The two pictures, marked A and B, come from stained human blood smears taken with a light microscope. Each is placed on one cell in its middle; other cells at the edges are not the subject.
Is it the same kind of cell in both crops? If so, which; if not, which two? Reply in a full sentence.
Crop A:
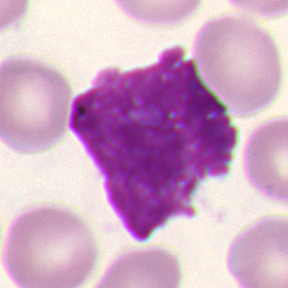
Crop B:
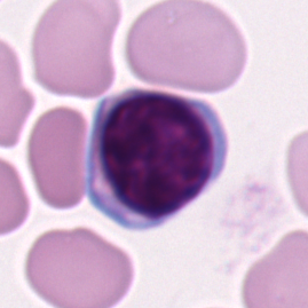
No, crop A contains a smudge cell; a typical lymphocyte is what crop B contains.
